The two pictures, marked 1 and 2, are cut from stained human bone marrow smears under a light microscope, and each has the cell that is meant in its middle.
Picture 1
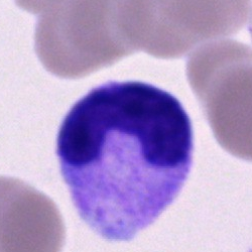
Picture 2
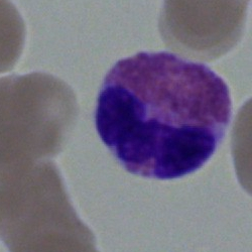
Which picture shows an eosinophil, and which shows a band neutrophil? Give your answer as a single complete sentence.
In picture 1 the cell is a band neutrophil; in picture 2, an eosinophil.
